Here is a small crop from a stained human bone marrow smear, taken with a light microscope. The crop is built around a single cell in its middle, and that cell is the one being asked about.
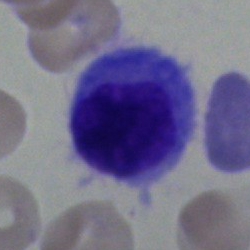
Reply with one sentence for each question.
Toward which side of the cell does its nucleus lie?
The nucleus lies toward the lower left of the cell.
